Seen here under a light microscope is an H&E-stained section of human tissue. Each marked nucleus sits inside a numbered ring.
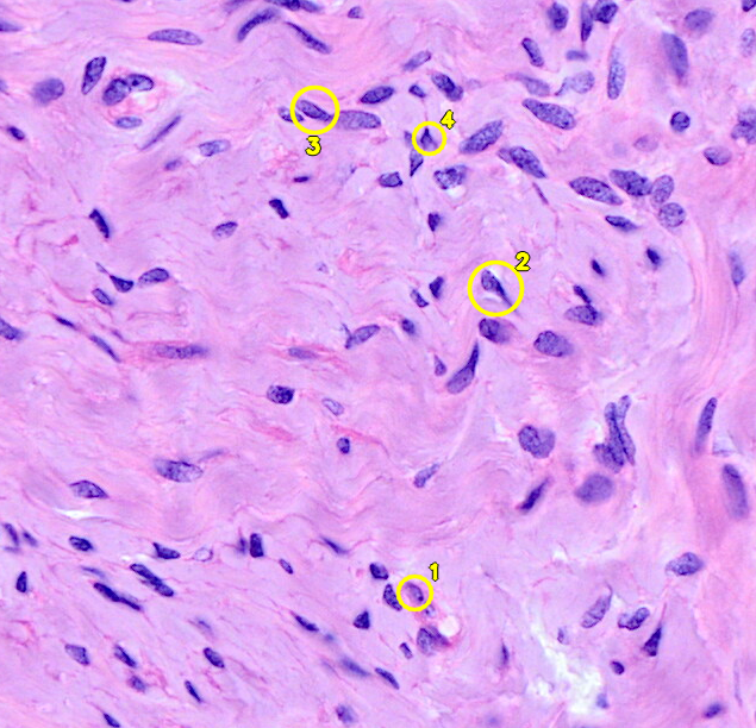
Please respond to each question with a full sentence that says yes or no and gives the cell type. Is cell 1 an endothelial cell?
Yes, the cell denoted by 1 is an endothelial cell.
